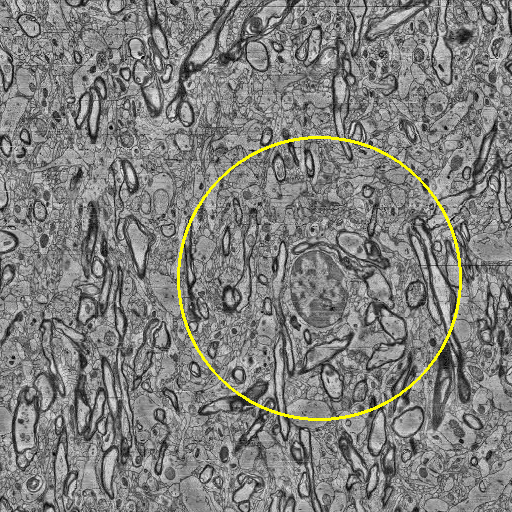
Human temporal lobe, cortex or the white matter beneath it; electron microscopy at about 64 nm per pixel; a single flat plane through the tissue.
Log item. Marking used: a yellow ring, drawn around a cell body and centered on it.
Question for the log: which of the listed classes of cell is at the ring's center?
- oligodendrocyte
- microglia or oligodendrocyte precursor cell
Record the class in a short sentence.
At the center of the ring lies a microglial cell or oligodendrocyte precursor cell.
